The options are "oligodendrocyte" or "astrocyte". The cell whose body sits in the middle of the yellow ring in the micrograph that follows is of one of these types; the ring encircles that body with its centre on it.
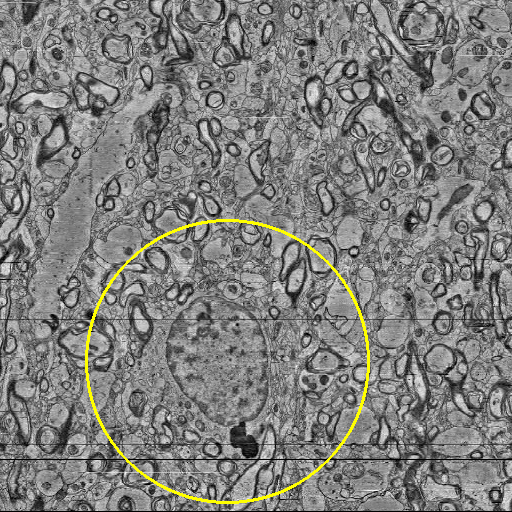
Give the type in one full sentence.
Going by the micrograph, the cell centred in the yellow ring is an oligodendrocyte.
